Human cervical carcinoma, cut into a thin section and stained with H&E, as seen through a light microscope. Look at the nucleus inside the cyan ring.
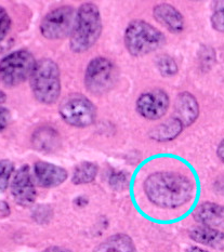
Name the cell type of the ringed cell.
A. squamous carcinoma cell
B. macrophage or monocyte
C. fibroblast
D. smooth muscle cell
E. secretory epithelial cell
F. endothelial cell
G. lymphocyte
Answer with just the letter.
A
